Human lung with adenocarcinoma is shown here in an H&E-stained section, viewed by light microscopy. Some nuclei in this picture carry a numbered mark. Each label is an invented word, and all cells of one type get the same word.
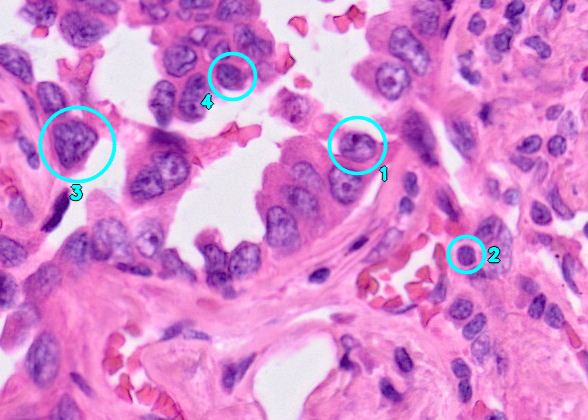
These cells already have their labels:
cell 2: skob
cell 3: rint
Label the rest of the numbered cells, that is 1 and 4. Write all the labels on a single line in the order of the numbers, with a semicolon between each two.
rint; rint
